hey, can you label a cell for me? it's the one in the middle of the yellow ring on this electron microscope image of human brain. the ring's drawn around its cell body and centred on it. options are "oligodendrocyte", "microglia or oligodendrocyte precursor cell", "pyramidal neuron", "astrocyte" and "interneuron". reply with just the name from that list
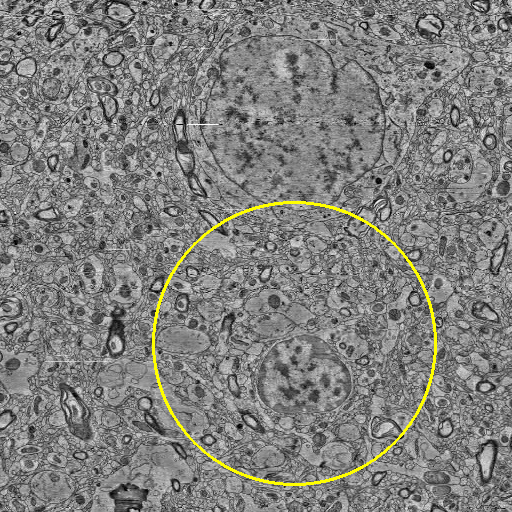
microglia or oligodendrocyte precursor cell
